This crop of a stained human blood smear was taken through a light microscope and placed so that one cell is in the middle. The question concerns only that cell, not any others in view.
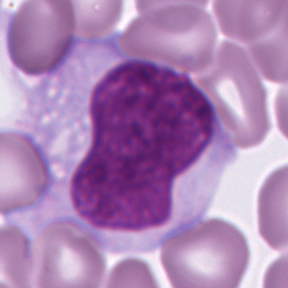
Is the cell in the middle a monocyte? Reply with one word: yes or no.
yes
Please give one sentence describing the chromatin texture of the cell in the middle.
The chromatin remains finely textured, with no coarse clumps to speak of.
